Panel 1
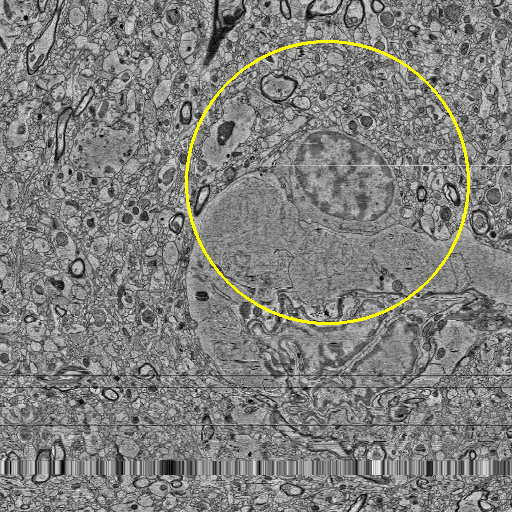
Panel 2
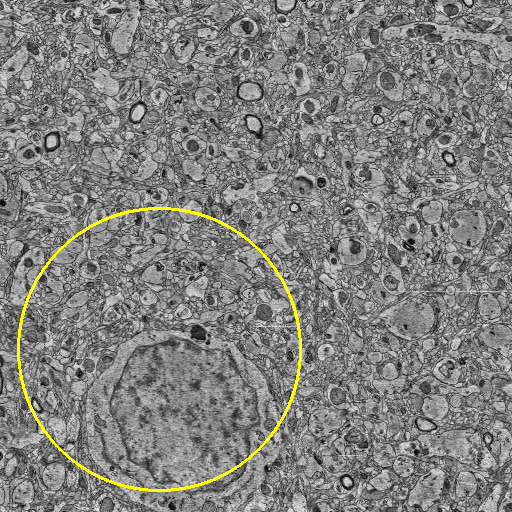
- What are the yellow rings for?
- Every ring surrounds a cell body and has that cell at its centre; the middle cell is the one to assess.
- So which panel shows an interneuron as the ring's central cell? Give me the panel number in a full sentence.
The panel whose ring is centred on the cell in question is panel 2.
